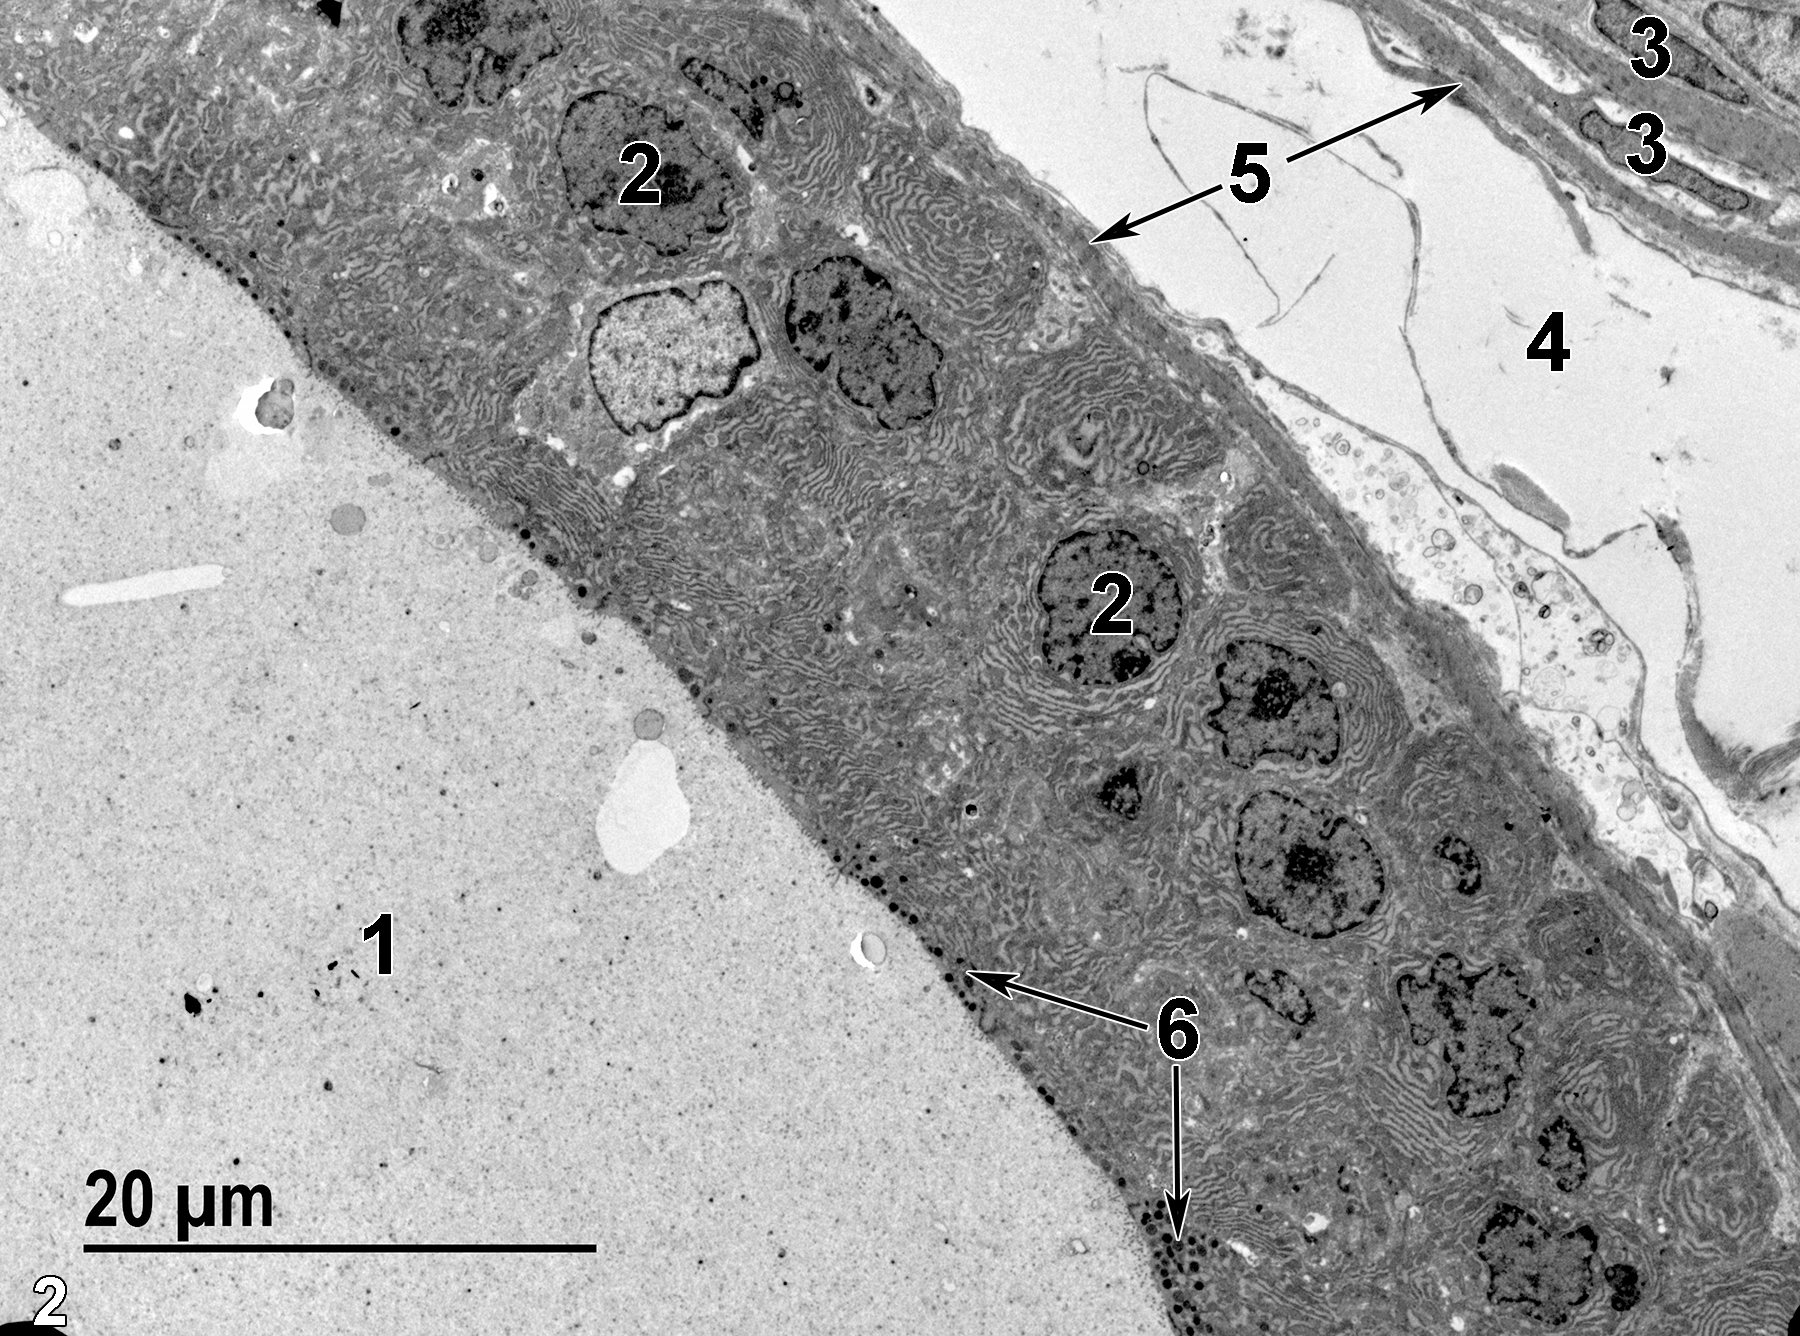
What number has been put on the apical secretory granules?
6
